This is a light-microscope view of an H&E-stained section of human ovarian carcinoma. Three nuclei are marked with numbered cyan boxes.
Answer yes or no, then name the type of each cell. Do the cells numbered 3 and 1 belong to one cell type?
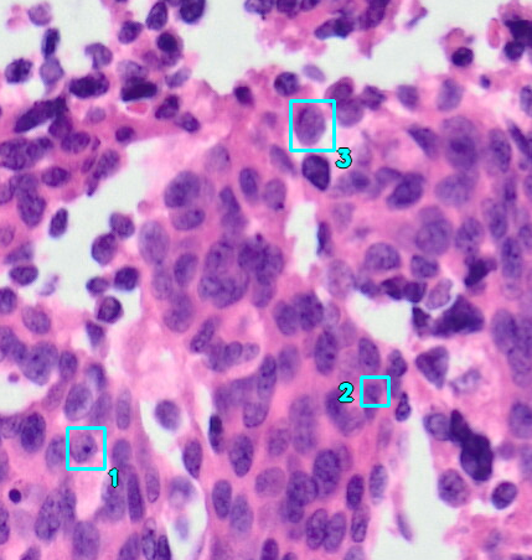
No, in contrast to cell 1, which is a macrophage or monocyte, cell 3 is a carcinoma cell.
